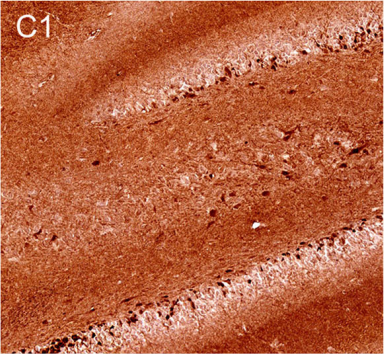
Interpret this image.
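Two bands of closely packed neuronal cell bodies cross the field, one near the top and one near the bottom; many of these somata appear as paler outlines against the dark surroundings, while some are deep brown. Between the bands lies a broad zone of finely granular dark-brown neuropil, with scattered small dark cell bodies.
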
